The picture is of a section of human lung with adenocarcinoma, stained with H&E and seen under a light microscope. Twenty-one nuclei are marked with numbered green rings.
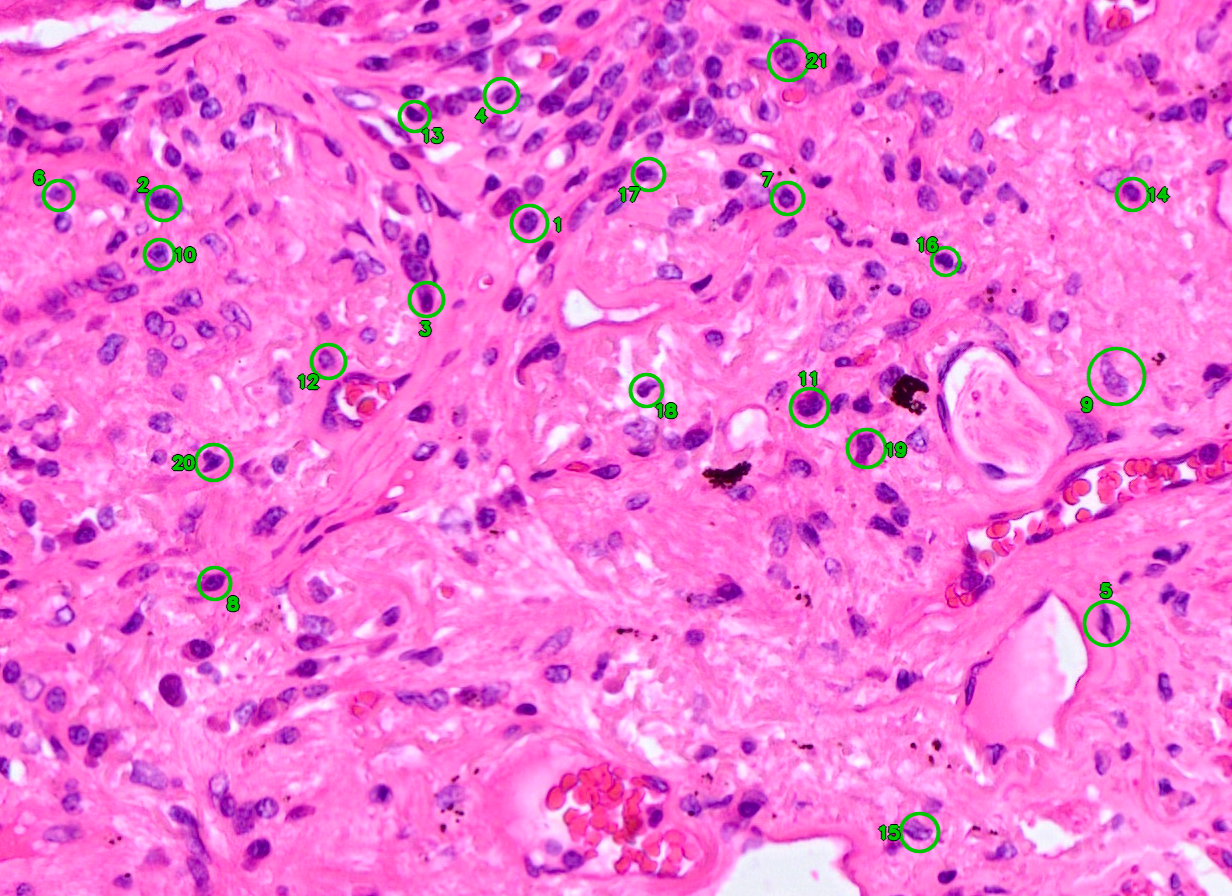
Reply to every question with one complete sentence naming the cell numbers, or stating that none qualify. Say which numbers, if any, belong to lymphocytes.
The cells labelled 1, 2, 4, 6, 7, 10, 13, 16, 17, 18 and 20 in this section are lymphocytes.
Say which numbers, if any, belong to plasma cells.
Cells numbered 3, 8, 11, 19 and 21 belong to the group of plasma cells.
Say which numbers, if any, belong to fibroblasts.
The cells with labels 5, 9 and 15 are fibroblasts.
